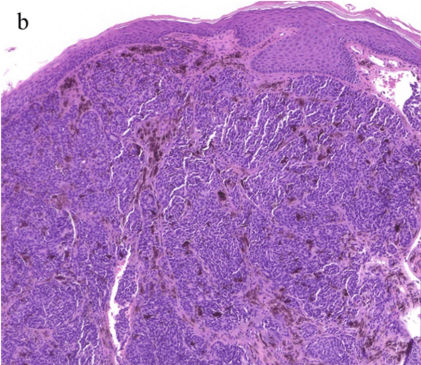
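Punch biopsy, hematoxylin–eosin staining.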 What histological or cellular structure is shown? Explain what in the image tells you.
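Nests. Densely packed basophilic cells fill the dermis just below the epidermis. Cell groups are separated by thin clefts and fine stromal strands.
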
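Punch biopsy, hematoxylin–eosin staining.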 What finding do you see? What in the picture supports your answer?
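Dark brown pigment is scattered among the crowded cells beneath the epidermis. The pigment forms clumps and streaks between cell groups.
Melanization.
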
